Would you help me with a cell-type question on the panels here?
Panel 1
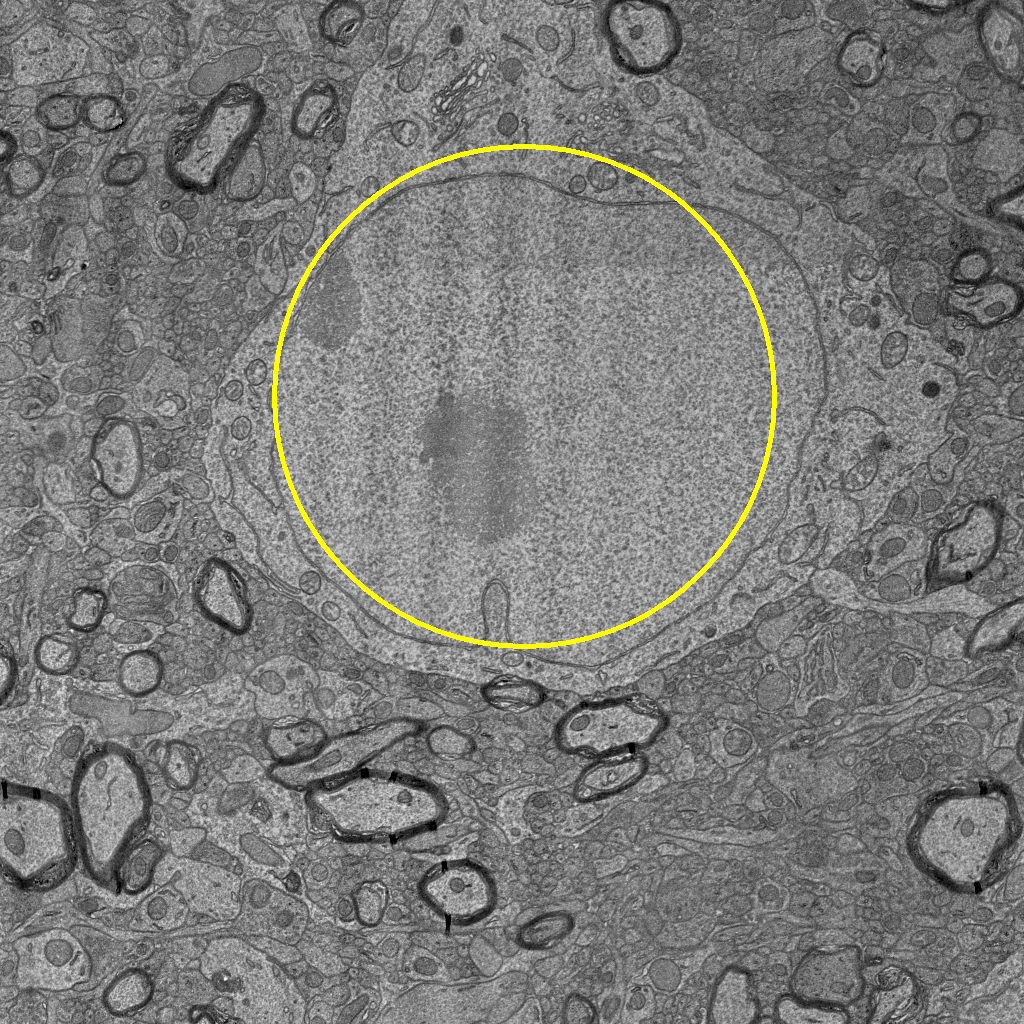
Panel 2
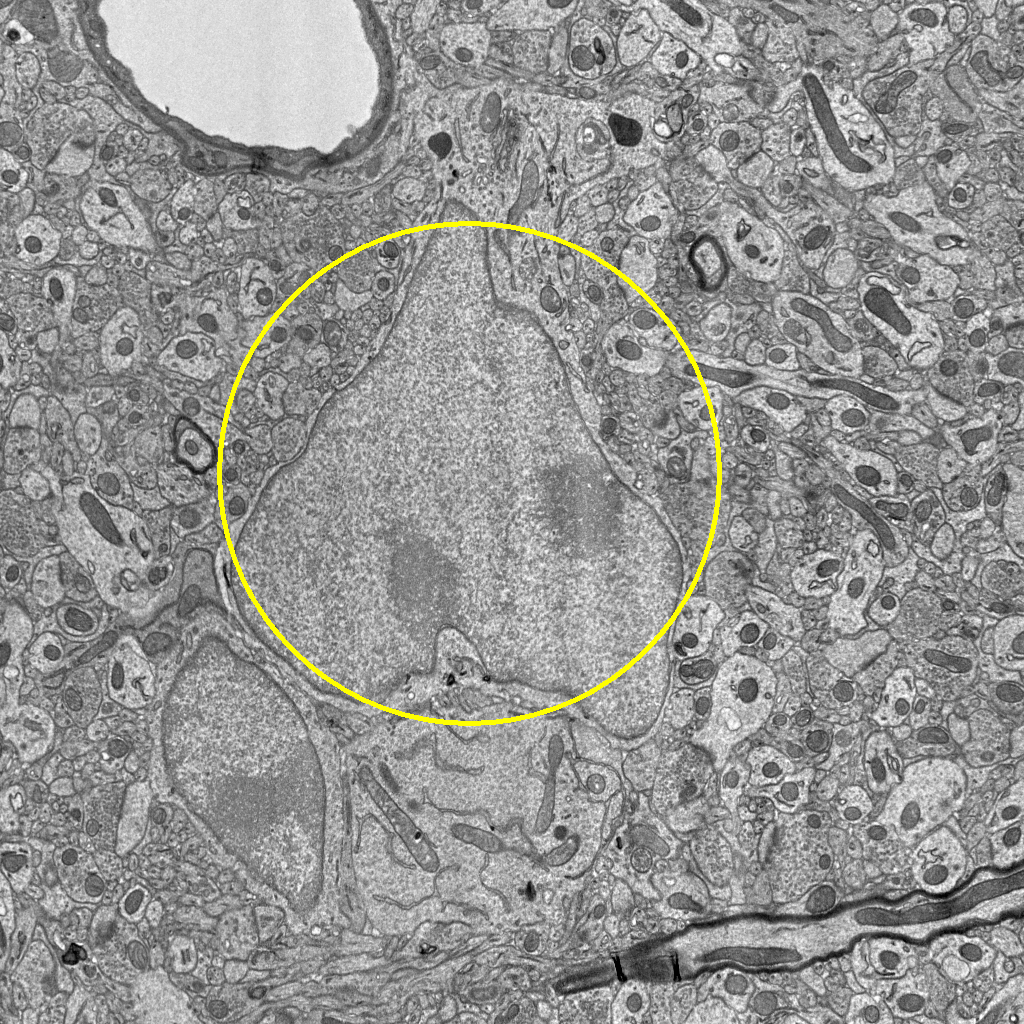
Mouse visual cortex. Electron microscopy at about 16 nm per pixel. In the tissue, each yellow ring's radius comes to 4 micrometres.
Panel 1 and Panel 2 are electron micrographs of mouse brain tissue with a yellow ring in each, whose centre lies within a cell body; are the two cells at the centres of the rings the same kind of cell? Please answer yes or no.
no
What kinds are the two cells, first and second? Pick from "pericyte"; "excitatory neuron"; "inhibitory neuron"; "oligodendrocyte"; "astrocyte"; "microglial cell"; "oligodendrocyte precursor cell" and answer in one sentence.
The first picture shows an excitatory neuron at the ring centre and the second shows an oligodendrocyte precursor cell.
